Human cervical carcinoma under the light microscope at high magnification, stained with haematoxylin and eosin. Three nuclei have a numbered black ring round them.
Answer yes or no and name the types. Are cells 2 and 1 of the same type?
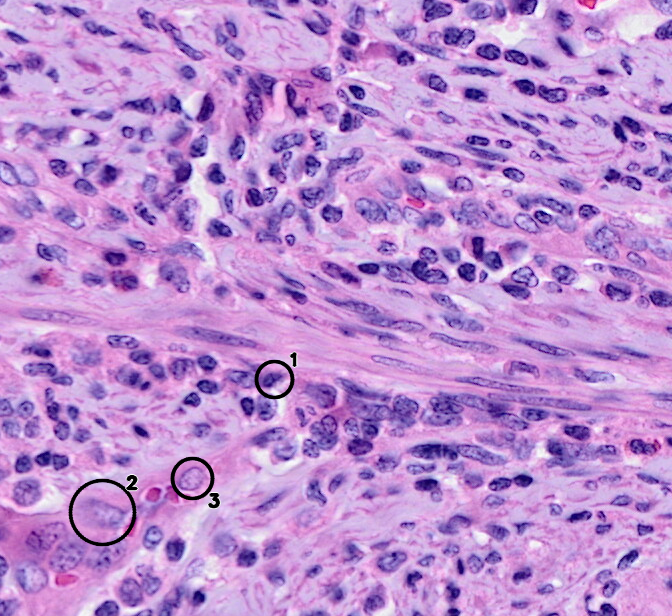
No, what is marked as cell 2 is an endothelial cell, and what is marked as cell 1 is a lymphocyte.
